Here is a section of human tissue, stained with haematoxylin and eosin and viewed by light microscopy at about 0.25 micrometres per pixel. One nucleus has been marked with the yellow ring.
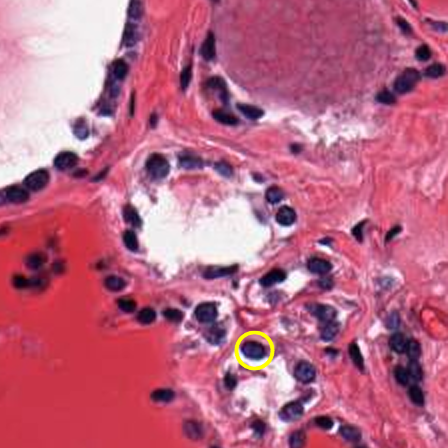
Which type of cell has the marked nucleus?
thyroid follicular cell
